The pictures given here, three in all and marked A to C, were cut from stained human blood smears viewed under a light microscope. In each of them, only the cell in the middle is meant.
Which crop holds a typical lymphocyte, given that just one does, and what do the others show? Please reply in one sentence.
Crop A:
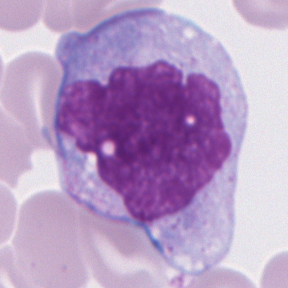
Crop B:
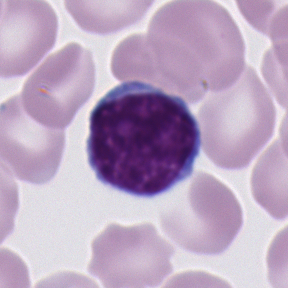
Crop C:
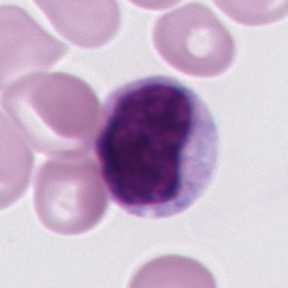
Crop B features a typical lymphocyte, while crop A is a monocyte and crop C is a metamyelocyte.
